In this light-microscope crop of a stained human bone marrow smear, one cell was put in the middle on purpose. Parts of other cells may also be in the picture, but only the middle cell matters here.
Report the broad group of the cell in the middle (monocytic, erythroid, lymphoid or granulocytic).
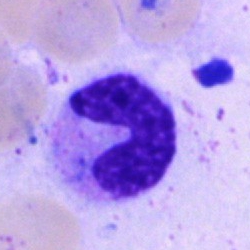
granulocytic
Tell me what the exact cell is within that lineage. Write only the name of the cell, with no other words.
band neutrophil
